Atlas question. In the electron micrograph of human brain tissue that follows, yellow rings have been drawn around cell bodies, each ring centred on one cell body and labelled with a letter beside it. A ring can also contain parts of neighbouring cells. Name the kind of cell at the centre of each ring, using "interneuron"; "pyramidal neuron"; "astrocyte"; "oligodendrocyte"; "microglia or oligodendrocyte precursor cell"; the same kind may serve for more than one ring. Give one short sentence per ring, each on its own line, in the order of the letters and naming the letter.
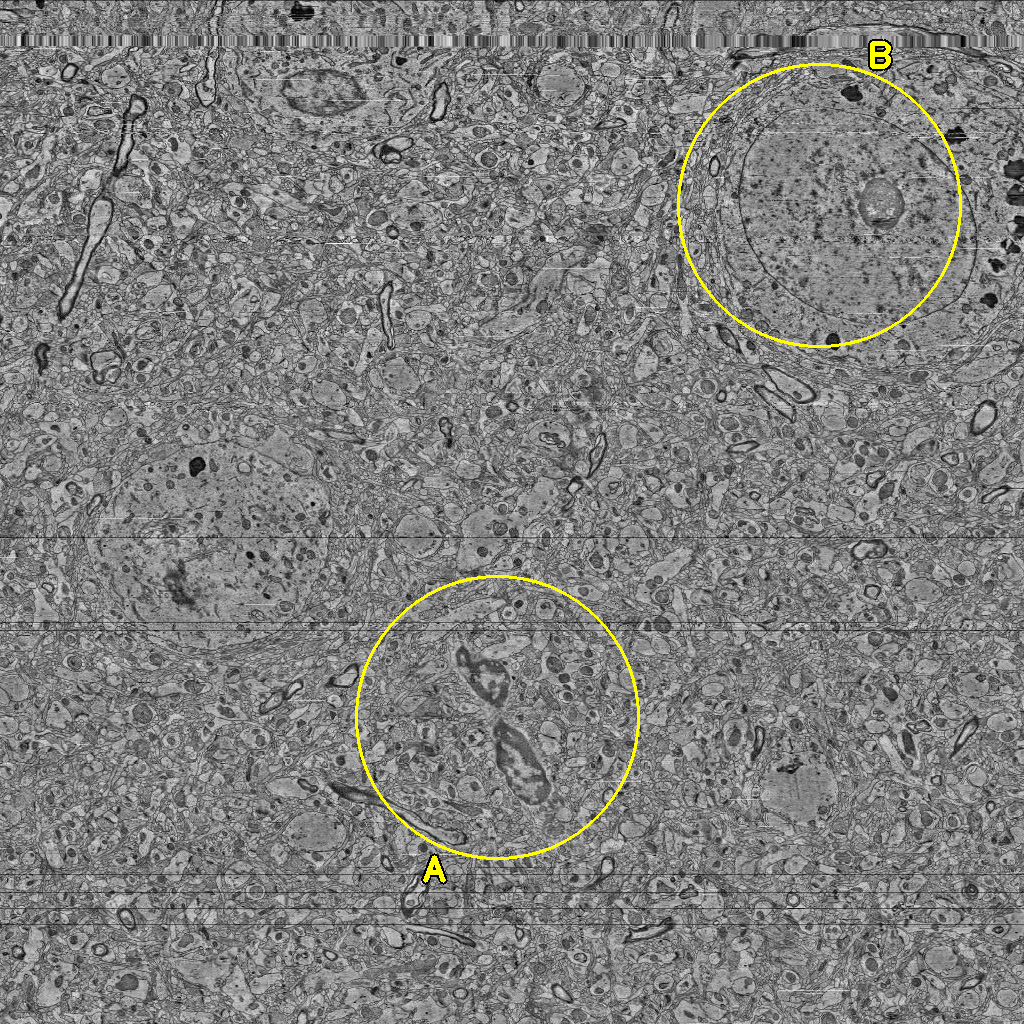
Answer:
For ring A, the cell at the centre is a microglial cell or oligodendrocyte precursor cell.
For ring B, the cell at the centre is a pyramidal neuron.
